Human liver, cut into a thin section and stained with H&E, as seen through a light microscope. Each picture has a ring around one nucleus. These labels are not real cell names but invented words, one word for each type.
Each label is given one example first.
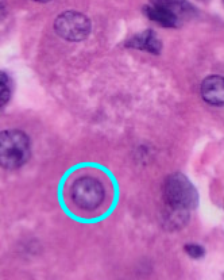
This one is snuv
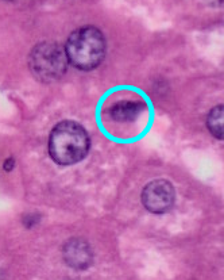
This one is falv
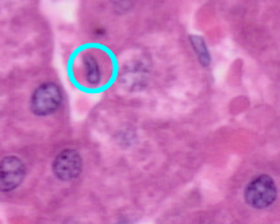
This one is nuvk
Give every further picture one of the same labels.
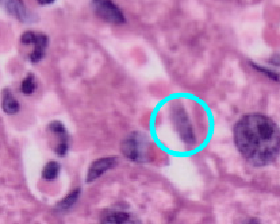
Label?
nuvk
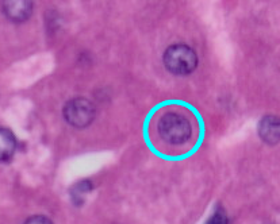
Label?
snuv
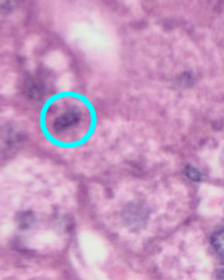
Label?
falv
